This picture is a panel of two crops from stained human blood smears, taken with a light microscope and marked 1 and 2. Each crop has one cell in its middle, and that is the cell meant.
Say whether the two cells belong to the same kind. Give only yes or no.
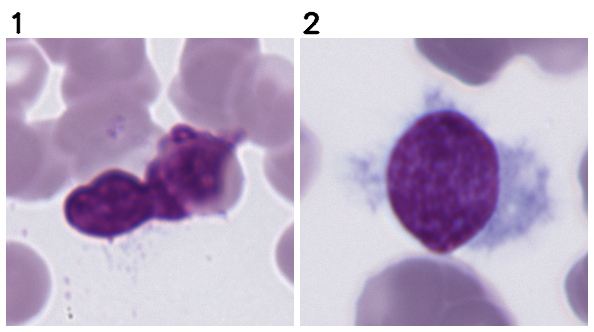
no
